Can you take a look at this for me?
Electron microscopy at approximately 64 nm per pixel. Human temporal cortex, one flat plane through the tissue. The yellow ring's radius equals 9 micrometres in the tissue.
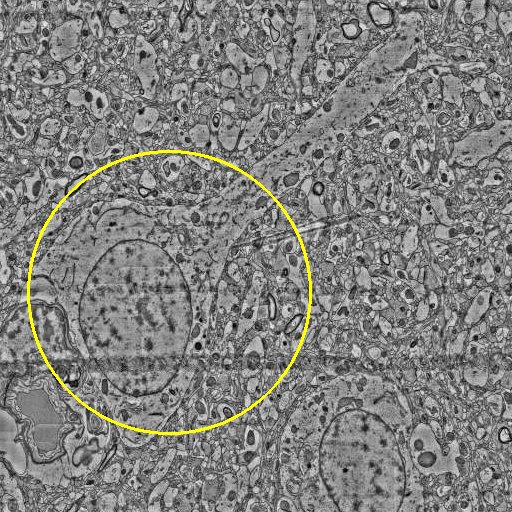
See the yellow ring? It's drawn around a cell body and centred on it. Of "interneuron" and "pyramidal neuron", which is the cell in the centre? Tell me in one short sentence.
The one in the centre is a pyramidal neuron.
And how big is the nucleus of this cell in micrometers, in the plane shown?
The nucleus is approximately 10 micrometers long by 8 micrometers wide in this plane.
